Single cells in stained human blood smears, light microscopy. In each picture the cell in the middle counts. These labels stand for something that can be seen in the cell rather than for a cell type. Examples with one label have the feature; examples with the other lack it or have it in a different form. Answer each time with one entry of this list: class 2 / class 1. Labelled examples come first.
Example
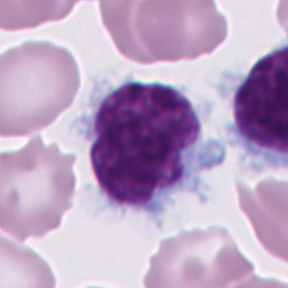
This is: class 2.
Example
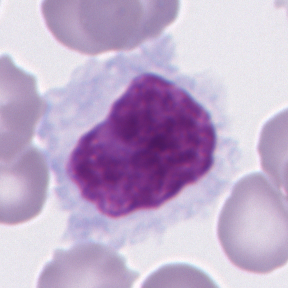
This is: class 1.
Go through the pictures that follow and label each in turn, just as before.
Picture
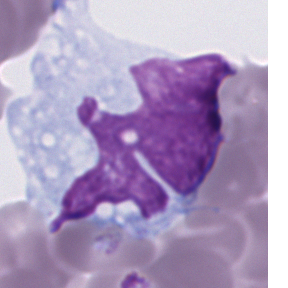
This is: class 1.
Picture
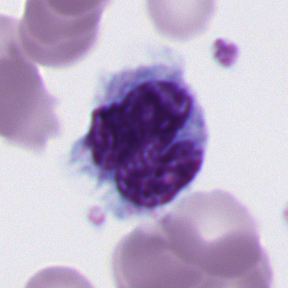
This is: class 2.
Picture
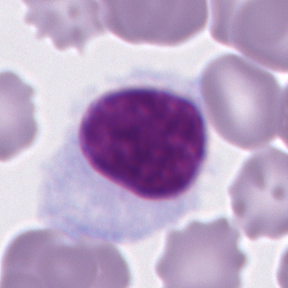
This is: class 1.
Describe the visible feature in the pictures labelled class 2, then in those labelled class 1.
Seen in class 2: scant cytoplasm; seen in class 1: abundant cytoplasm.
